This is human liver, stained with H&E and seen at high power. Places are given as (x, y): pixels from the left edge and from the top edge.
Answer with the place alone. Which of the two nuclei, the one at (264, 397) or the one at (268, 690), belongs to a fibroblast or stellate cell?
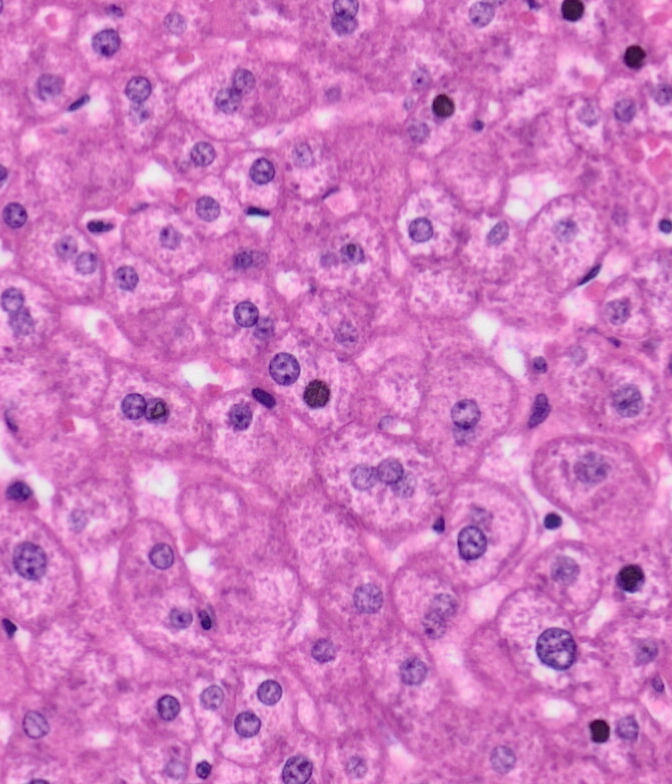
(264, 397)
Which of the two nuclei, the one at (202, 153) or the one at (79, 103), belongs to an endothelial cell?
(79, 103)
